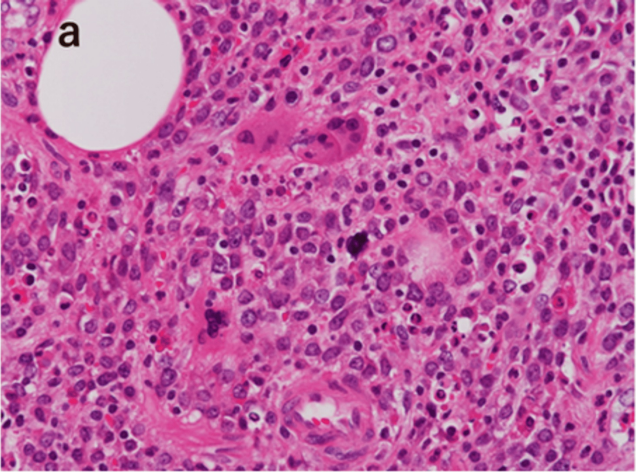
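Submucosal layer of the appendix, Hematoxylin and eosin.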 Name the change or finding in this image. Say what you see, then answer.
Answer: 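A dense mixed population of small round cells fills the tissue between vessels. Scattered giant cells with lobulated nuclei lie among them. That points to this answer: Extramedullary hematopoiesis.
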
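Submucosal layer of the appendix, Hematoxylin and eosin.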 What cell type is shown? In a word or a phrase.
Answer: megakaryocytes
